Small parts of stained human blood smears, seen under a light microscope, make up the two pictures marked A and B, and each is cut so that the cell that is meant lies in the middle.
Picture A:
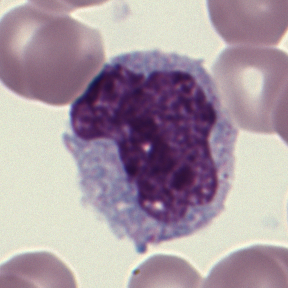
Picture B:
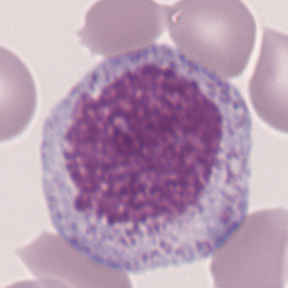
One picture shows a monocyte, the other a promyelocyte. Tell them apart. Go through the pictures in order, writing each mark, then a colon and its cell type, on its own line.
A: monocyte
B: promyelocyte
